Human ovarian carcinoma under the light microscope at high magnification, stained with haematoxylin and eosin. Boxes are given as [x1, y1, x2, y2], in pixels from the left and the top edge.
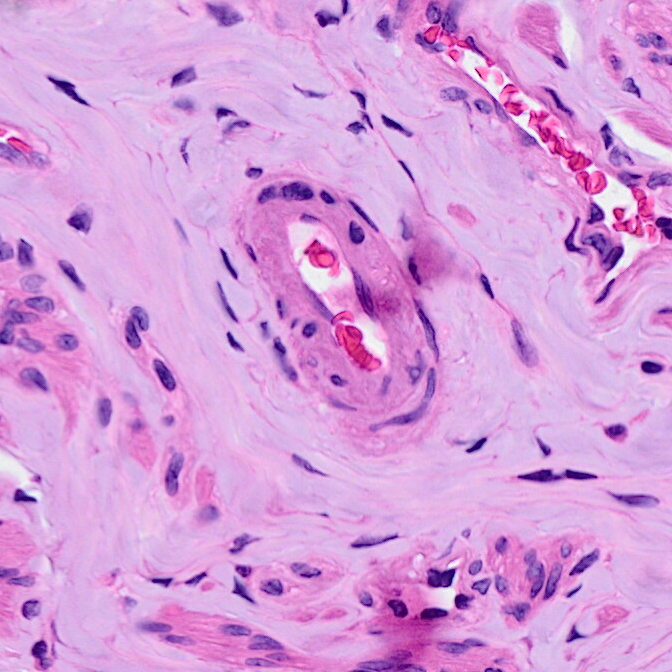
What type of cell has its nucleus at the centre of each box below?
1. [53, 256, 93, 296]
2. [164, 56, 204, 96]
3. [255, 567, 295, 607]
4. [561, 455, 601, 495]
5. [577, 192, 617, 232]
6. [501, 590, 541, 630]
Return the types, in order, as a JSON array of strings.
["fibroblast", "fibroblast", "endothelial cell", "fibroblast", "endothelial cell", "smooth muscle cell"]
